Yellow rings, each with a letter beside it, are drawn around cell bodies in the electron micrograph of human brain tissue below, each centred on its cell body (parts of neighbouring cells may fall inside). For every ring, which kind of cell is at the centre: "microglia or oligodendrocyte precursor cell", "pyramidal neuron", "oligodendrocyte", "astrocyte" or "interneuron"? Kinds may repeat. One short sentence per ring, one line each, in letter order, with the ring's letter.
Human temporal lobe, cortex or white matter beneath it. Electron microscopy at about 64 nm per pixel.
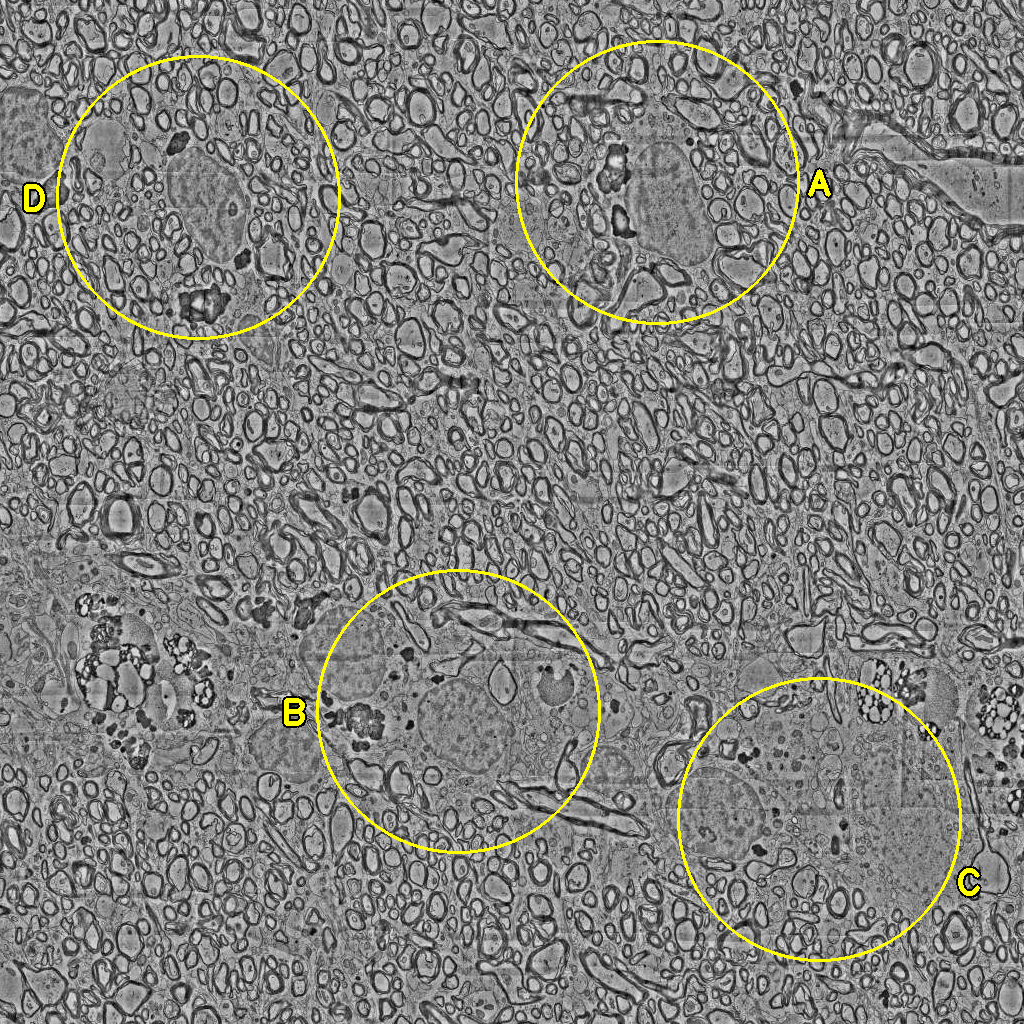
The cell in ring A is an oligodendrocyte.
The cell in ring B is an oligodendrocyte.
The cell in ring C is an oligodendrocyte.
The cell in ring D is an oligodendrocyte.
